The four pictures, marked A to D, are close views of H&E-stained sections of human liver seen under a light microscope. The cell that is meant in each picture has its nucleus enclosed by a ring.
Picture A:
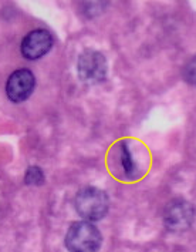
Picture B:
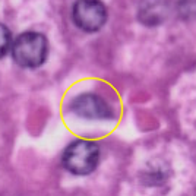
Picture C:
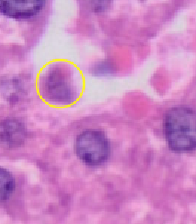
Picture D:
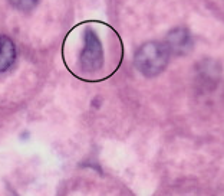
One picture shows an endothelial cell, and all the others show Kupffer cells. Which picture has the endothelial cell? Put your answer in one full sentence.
It is picture A that shows the endothelial cell.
